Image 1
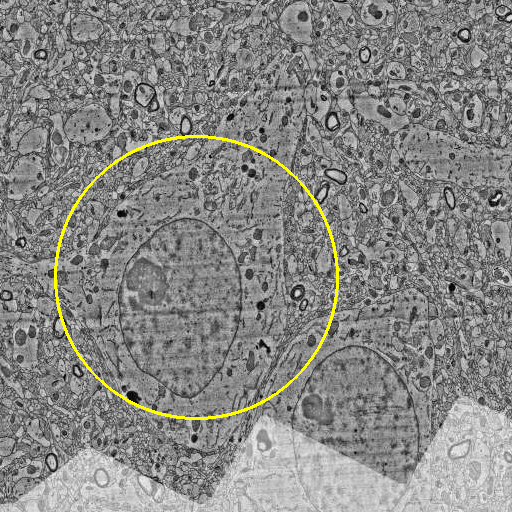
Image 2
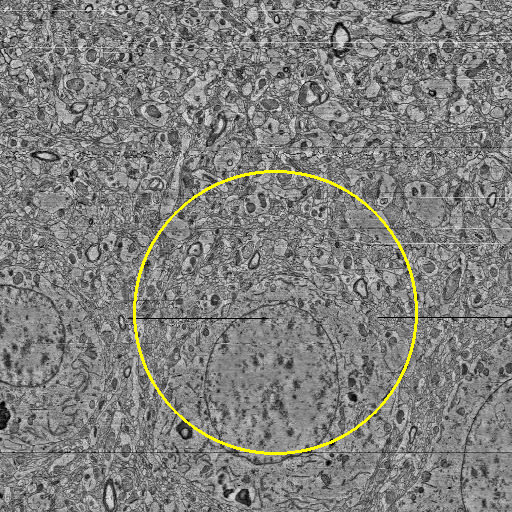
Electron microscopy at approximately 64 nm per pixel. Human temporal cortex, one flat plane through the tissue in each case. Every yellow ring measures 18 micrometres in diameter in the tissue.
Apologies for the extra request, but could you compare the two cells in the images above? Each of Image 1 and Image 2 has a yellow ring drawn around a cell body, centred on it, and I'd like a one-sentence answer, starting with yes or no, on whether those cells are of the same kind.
Yes, both cells are of the same kind.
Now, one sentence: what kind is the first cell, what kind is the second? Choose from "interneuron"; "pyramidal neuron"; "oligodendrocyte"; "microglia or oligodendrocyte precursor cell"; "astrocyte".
Each cell, in the first picture and the second, is a pyramidal neuron.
